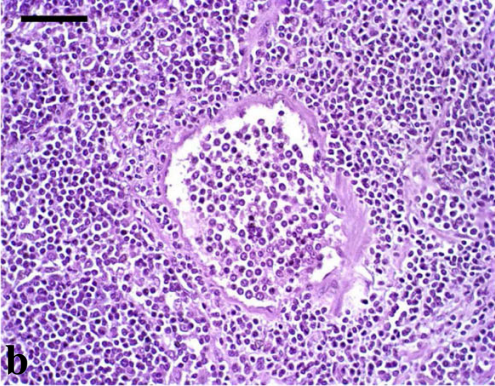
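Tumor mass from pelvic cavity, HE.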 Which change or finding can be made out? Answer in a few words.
Vascular invasion.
